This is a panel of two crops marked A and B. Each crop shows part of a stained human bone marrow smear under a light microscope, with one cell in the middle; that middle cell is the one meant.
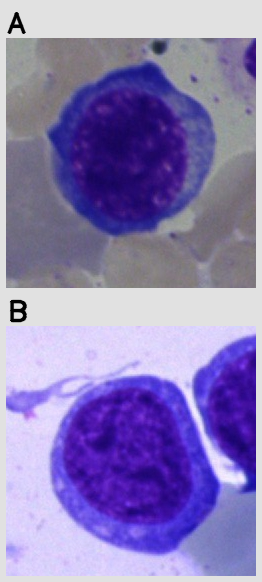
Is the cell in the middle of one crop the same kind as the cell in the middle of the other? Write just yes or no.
no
